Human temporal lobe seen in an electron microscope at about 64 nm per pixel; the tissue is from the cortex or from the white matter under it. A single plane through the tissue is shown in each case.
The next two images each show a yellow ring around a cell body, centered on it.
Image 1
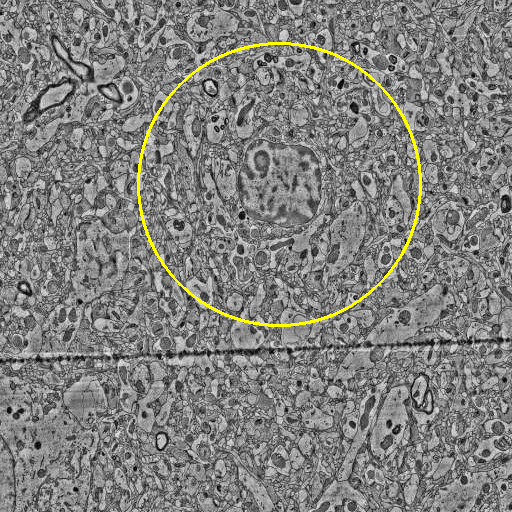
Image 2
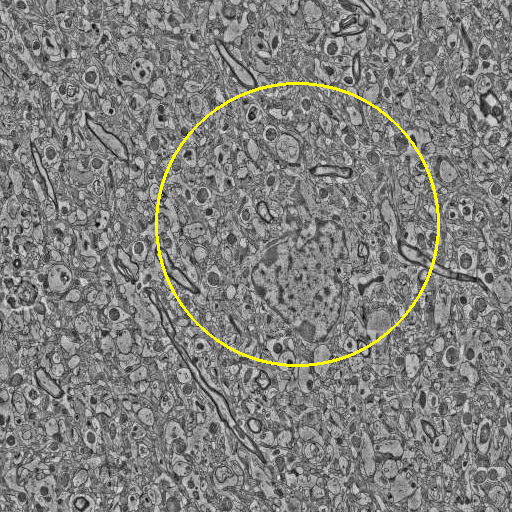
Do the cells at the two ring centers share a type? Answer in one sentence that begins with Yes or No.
Yes, across the two images the cells at the ring centers share one type.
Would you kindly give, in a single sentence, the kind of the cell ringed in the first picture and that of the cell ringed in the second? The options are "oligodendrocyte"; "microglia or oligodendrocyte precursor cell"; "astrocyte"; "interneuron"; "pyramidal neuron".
In the first picture and in the second, the ring is centred on a microglial cell or oligodendrocyte precursor cell.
